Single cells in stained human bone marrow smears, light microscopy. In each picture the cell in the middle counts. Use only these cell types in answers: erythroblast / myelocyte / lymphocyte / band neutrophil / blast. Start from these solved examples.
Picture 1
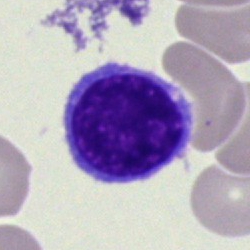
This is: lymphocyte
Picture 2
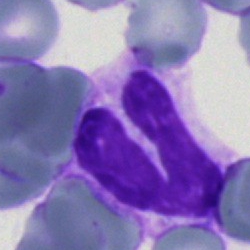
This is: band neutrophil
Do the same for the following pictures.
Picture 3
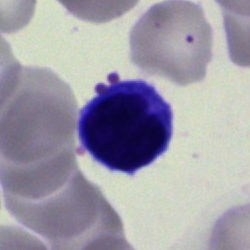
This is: lymphocyte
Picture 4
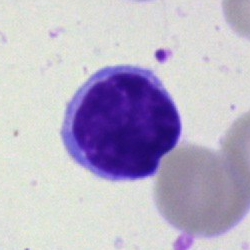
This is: lymphocyte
